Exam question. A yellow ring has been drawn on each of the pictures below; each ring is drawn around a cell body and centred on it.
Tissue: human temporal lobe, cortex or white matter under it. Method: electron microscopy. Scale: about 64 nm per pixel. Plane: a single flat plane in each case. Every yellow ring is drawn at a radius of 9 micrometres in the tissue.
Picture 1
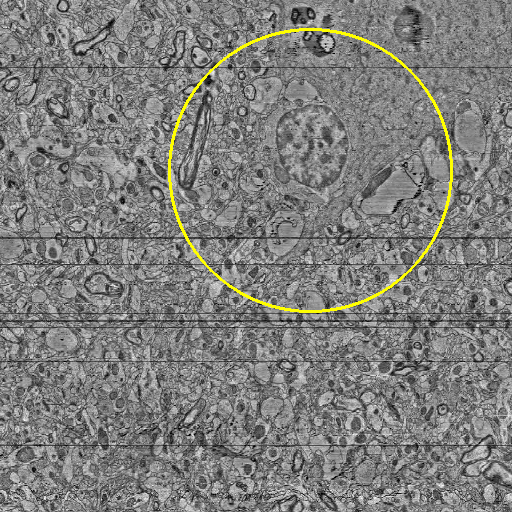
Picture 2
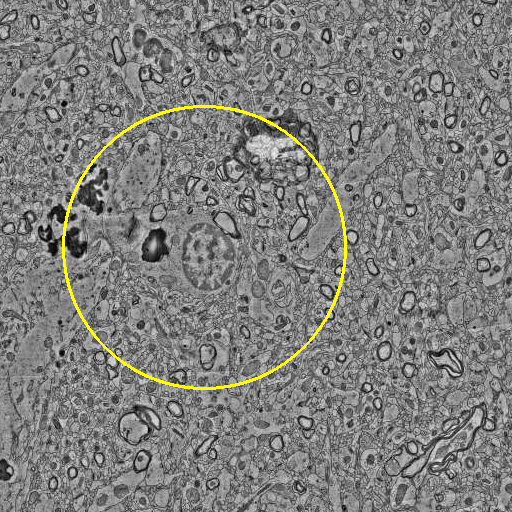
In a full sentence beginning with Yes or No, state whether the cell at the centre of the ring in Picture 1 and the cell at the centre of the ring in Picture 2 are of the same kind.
Yes, the two cells are of the same kind.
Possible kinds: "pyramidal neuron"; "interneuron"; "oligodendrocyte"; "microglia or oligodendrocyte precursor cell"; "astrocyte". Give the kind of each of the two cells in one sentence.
Both cells are the same kind, each one being an oligodendrocyte.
